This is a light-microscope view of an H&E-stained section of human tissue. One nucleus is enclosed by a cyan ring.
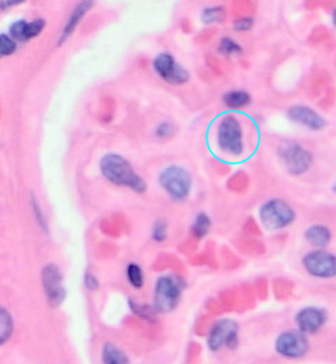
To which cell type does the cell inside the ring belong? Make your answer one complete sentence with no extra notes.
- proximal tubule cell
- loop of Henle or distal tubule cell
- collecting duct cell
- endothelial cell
The cell type represented by the cell inside the ring is that of an endothelial cell.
